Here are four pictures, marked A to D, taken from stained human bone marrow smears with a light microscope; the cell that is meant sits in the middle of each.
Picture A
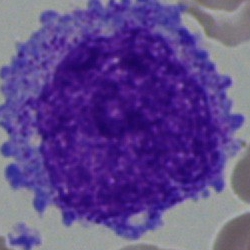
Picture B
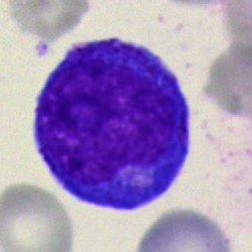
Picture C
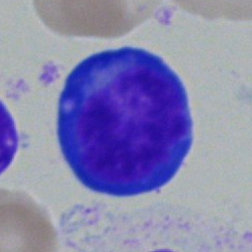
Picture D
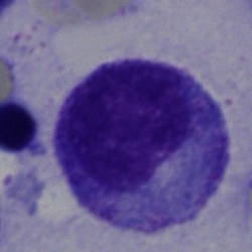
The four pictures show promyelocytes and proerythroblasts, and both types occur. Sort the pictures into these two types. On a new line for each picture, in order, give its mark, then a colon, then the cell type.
A: promyelocyte
B: promyelocyte
C: proerythroblast
D: promyelocyte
